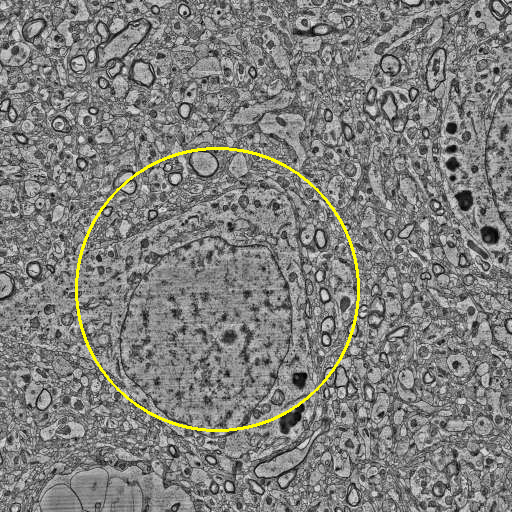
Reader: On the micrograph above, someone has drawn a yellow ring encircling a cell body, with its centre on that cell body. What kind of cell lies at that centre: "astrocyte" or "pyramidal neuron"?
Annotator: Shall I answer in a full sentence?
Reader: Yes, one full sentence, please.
Here a pyramidal neuron sits at the centre of the yellow ring drawn on the micrograph.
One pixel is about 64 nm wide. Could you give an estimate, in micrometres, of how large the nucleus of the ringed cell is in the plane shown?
About 13 micrometres by about 11 micrometres in this plane.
